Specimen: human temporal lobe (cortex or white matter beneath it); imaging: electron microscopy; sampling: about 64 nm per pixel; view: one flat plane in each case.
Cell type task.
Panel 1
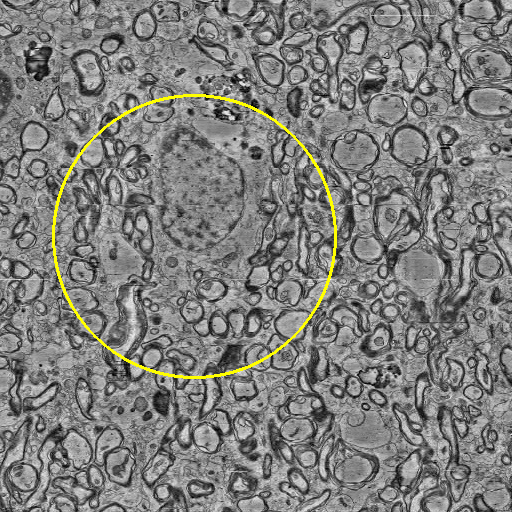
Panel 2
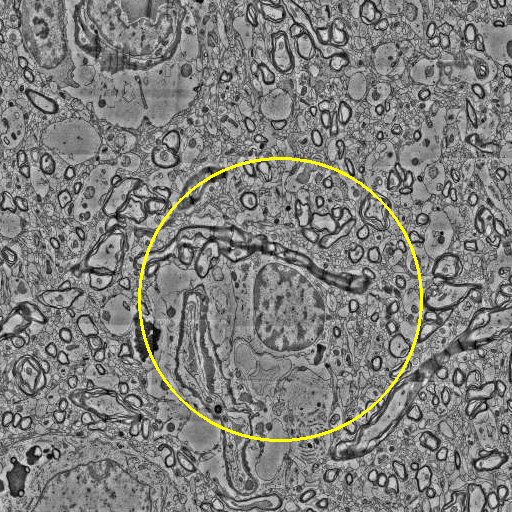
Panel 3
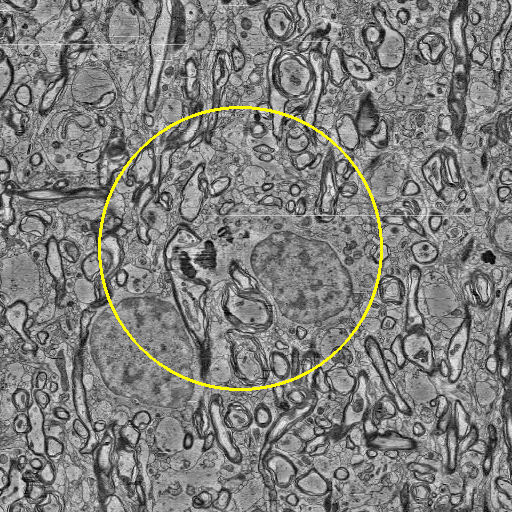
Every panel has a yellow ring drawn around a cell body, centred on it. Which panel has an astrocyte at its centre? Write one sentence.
It sits at the centre of the ring in Panel 1.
